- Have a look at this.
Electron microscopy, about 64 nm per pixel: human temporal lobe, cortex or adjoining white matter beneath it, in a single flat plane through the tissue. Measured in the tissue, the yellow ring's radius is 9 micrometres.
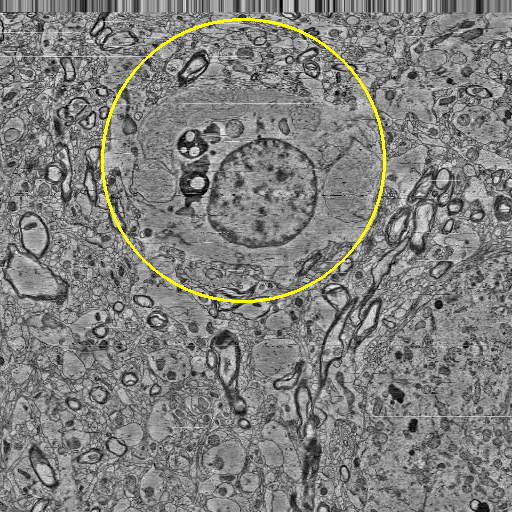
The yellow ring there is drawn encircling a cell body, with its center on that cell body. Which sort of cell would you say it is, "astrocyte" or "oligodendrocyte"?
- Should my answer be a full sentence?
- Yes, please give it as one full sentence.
For this picture, an astrocyte is the cell where the yellow ring has its center.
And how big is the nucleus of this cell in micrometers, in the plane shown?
Roughly 7 micrometres across for the nucleus, in this plane.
